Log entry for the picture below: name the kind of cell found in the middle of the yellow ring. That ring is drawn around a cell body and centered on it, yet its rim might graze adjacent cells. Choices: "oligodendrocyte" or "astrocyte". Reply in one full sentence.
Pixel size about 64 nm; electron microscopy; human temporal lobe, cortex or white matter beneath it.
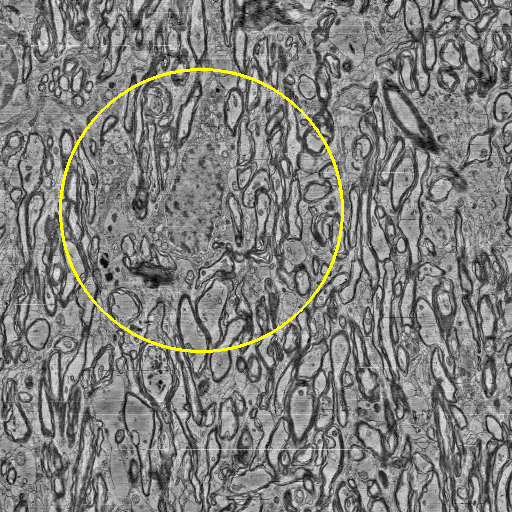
The cell in the middle of the yellow ring in this picture is an astrocyte.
